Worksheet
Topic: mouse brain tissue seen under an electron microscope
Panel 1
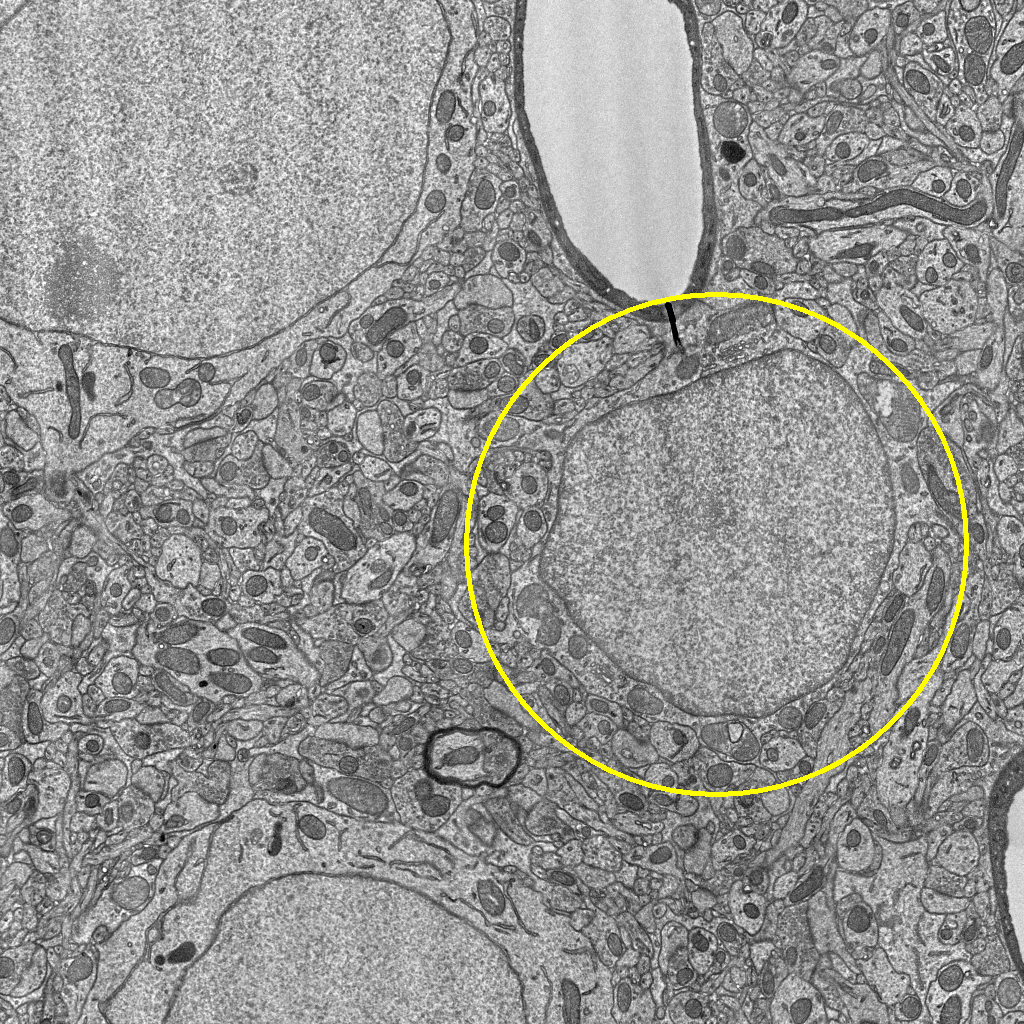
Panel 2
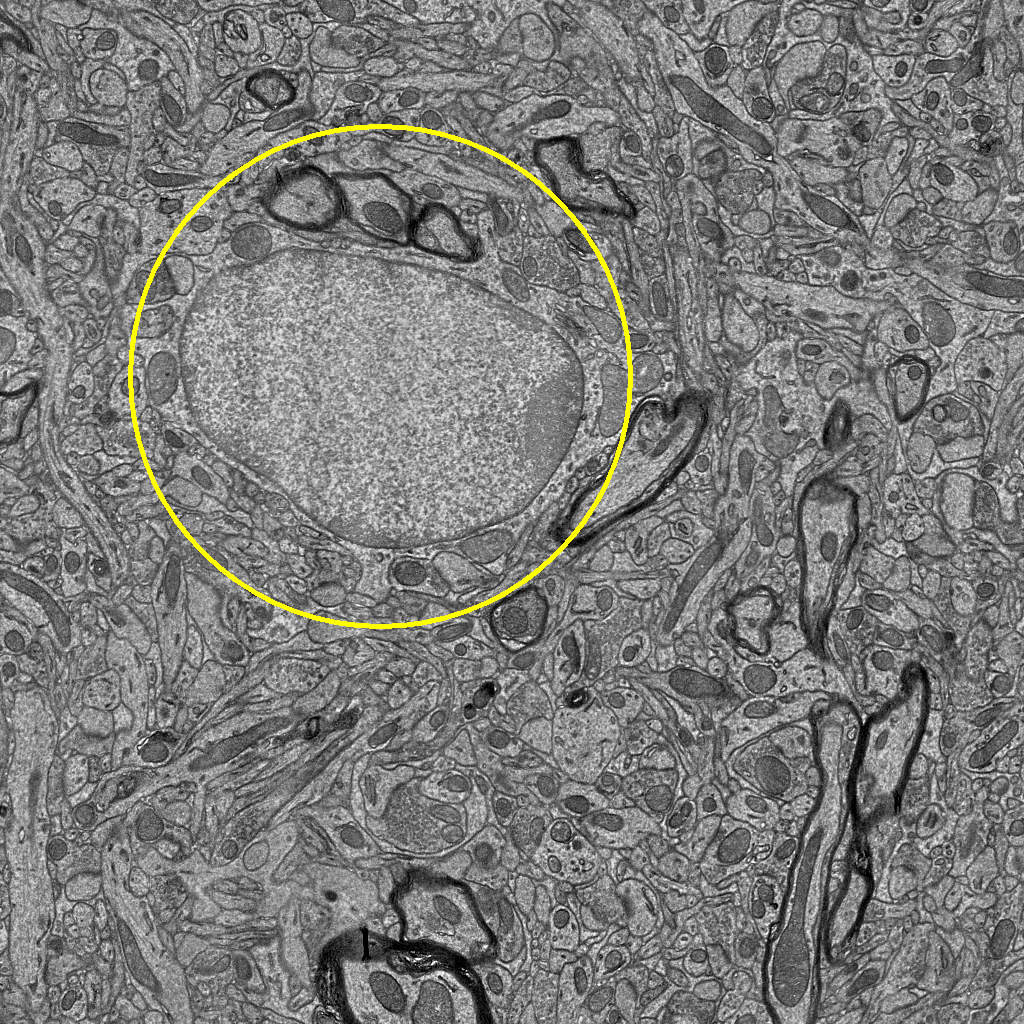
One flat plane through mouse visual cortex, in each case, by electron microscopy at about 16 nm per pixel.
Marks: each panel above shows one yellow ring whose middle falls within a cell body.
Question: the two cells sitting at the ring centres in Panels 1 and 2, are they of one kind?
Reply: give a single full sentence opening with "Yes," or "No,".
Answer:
Yes, the two cells at the ring centres in Panel 1 and Panel 2 are of one kind.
